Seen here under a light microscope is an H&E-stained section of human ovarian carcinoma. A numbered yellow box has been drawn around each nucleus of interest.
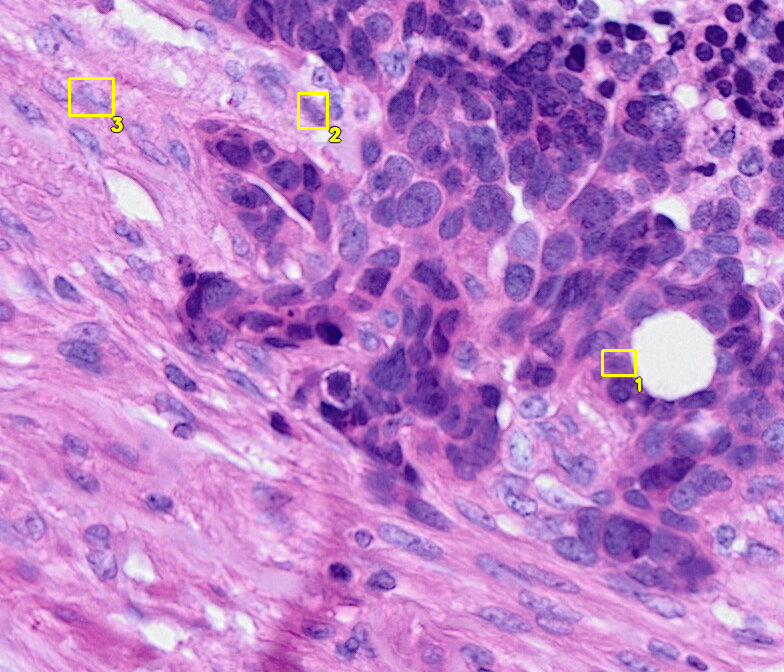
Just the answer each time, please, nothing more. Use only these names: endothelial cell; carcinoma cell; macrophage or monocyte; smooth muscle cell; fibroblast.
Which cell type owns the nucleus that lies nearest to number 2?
macrophage or monocyte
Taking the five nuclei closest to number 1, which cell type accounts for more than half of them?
carcinoma cell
